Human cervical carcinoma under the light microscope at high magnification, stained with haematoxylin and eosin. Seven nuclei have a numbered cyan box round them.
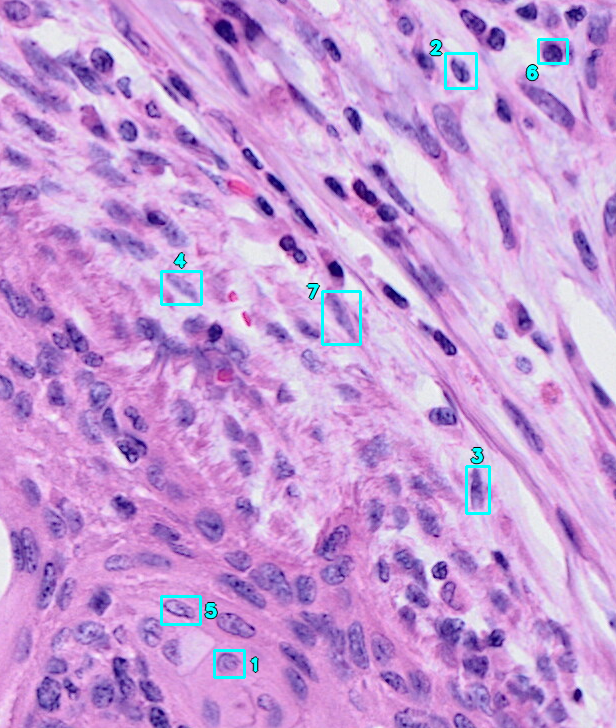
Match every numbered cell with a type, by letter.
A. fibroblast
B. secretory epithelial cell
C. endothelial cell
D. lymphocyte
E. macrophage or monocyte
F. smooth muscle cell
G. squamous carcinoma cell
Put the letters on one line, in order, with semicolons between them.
G; D; A; A; G; D; A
